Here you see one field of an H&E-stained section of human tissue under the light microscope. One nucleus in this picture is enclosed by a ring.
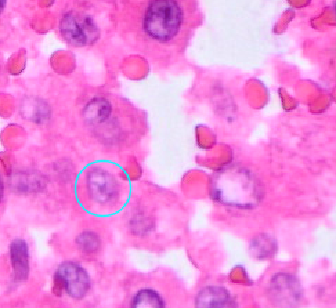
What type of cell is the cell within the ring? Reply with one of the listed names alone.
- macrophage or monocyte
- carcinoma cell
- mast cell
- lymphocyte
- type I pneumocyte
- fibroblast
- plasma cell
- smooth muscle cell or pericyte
macrophage or monocyte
